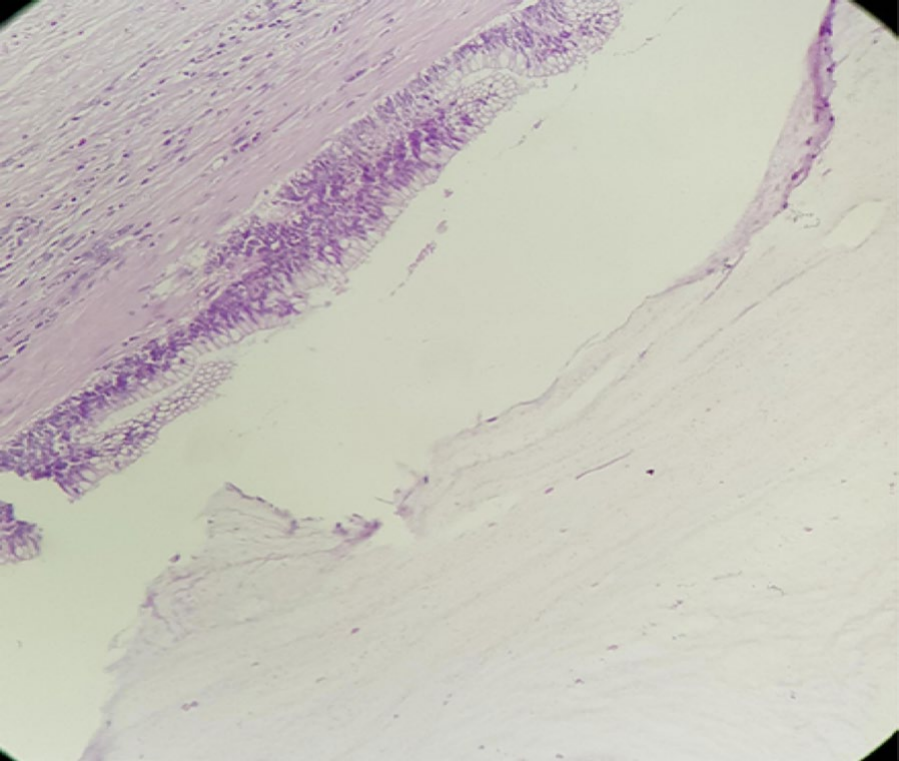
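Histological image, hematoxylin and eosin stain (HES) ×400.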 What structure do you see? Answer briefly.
cyst wall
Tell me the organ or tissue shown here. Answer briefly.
Mucinous pseudostratified epithelium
